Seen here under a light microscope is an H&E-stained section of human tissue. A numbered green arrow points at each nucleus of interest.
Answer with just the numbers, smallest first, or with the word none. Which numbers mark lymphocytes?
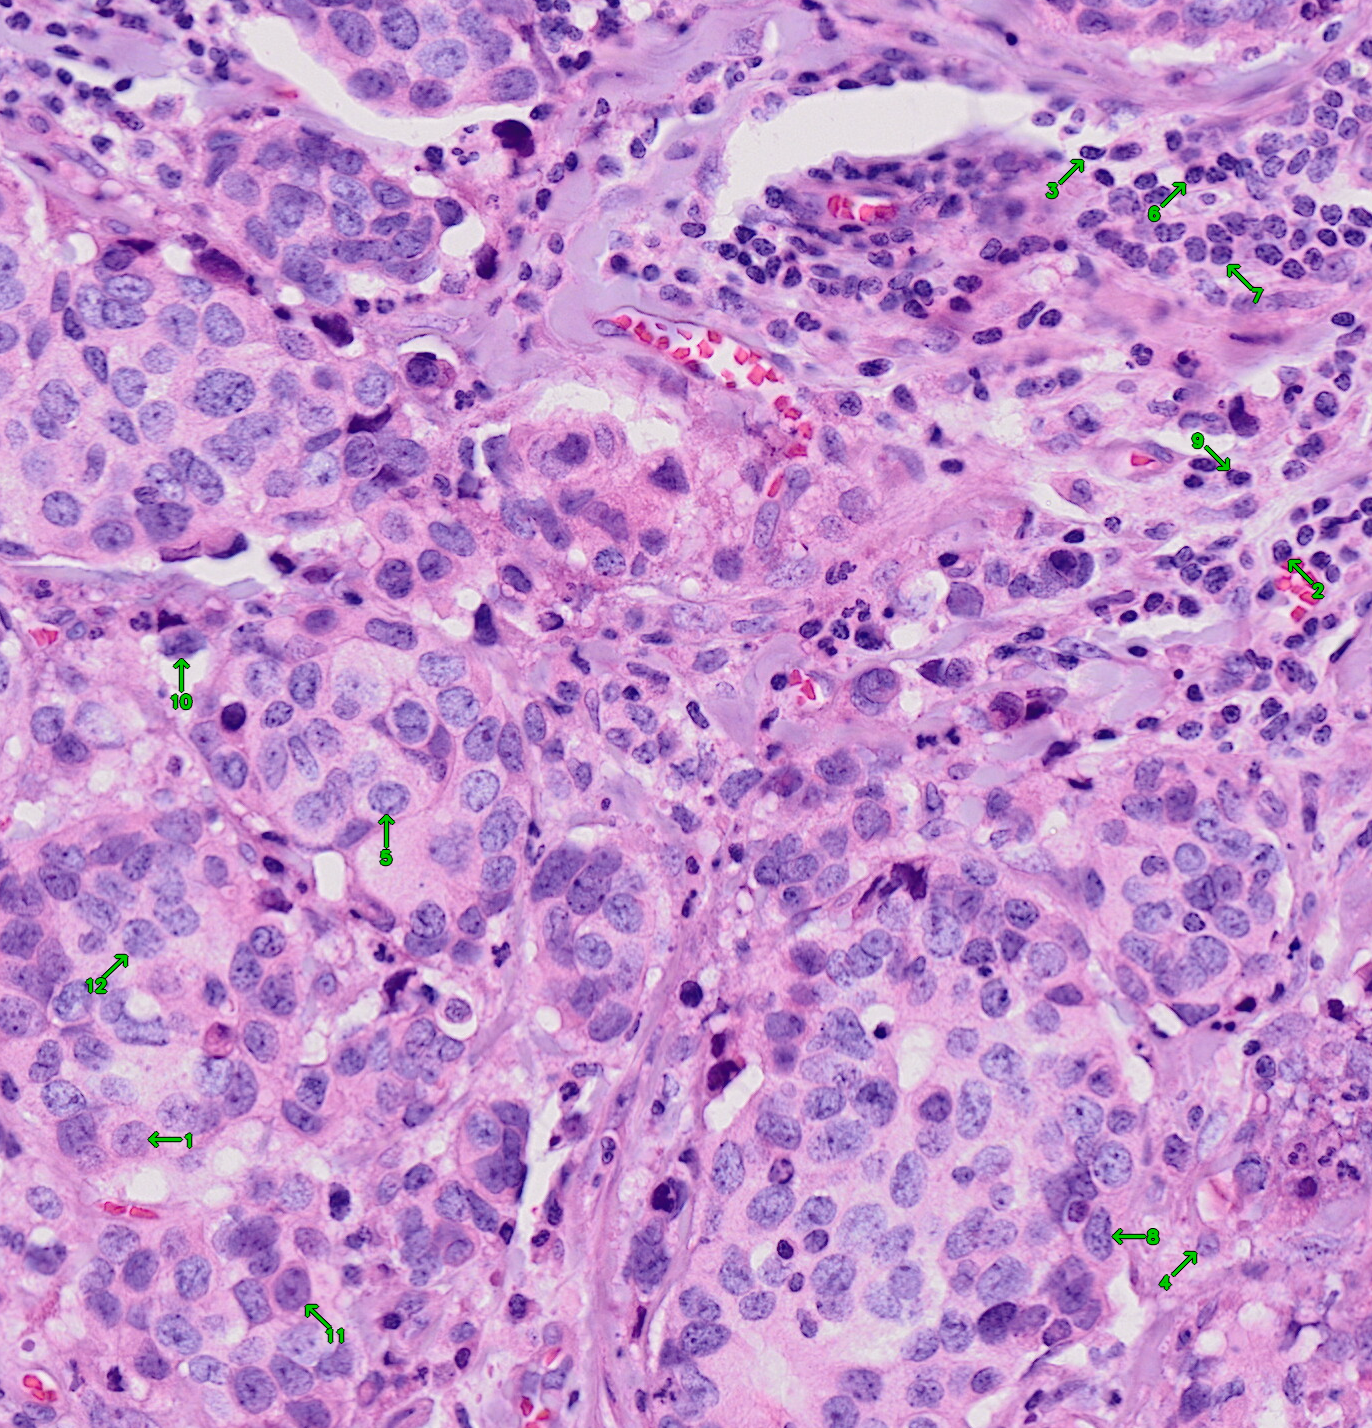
2, 3, 6, 7, 9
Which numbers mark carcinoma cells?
1, 5, 8, 10, 11, 12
